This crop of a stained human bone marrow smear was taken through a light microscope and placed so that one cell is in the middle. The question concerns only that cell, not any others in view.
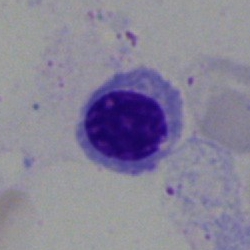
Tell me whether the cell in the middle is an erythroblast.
yes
